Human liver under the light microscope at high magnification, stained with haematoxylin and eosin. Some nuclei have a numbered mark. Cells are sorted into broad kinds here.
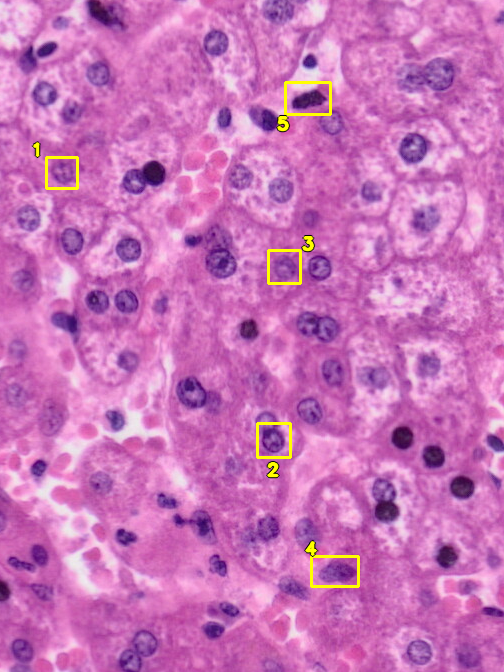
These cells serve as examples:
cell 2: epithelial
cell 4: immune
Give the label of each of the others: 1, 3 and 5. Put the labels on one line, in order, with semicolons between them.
epithelial; epithelial; immune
